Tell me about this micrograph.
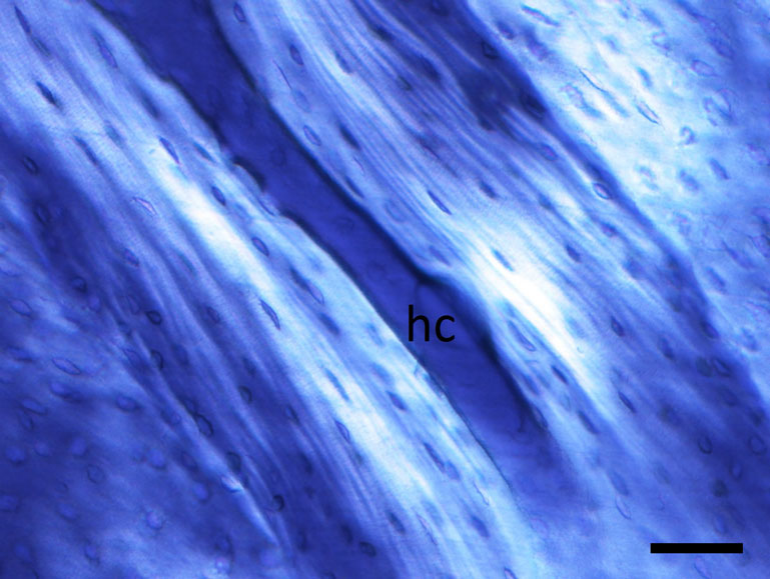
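This is a longitudinal view of an osteon of compact bone. A dark canal runs diagonally through the centre, and layered lamellae of bone matrix run parallel to it on both sides. Alternating bright and dark bands run along the lamellae, and small dark elongated osteocyte lacunae lie in rows within them.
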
